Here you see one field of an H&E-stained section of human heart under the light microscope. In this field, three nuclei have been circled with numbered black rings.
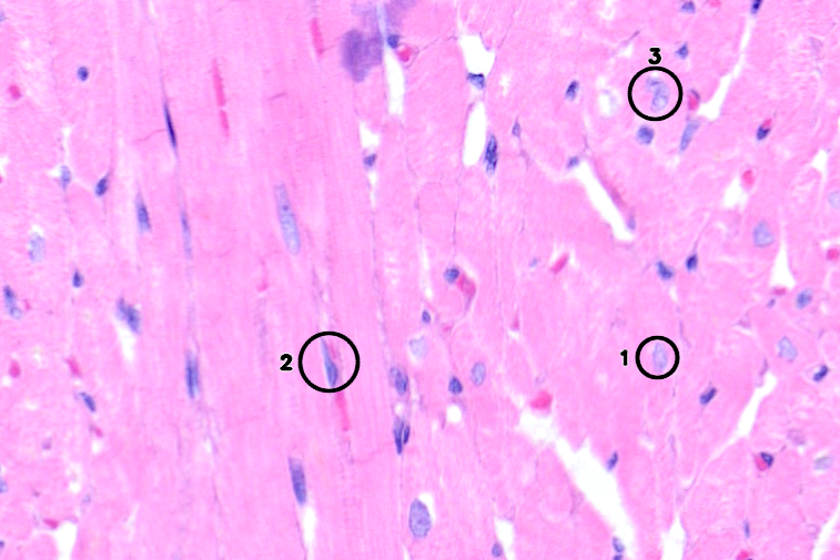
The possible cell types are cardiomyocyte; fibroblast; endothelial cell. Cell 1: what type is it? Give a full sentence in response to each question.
Regarding cell 1, this one is a cardiomyocyte.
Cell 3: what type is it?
Here the cell numbered 3 is a cardiomyocyte.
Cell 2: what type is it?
The cell carrying label 2 is identified as an endothelial cell.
